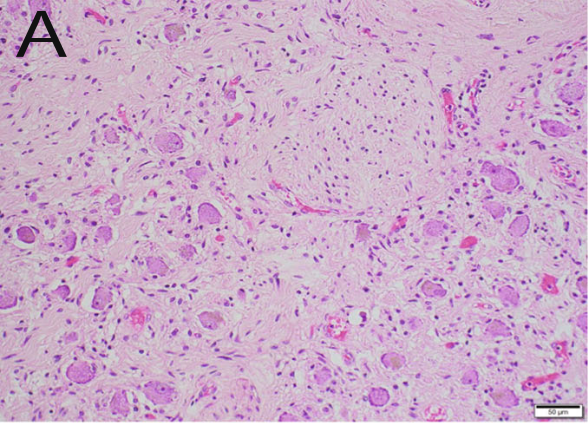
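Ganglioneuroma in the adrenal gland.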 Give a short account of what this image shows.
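This tumour is made of large ganglion cells scattered singly through a loose fibrillary stroma of spindle cells. The ganglion cells are round to polygonal with plentiful pink to lilac cytoplasm, while the surrounding spindle cells have slender, wavy nuclei arranged in interlacing bundles. Small vessels filled with red blood cells run between them.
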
